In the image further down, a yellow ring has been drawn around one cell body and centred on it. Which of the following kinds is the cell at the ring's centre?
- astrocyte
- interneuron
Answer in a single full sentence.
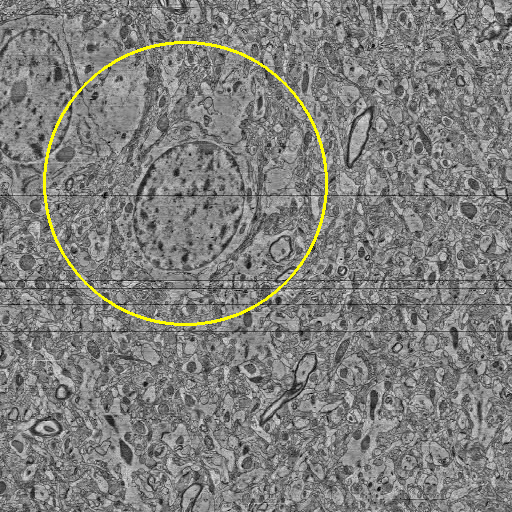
In the picture, the cell sitting at the centre of the yellow ring is an astrocyte.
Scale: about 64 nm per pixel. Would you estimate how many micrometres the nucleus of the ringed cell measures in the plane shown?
The nucleus appears roughly 9 by 7 micrometres in this plane.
